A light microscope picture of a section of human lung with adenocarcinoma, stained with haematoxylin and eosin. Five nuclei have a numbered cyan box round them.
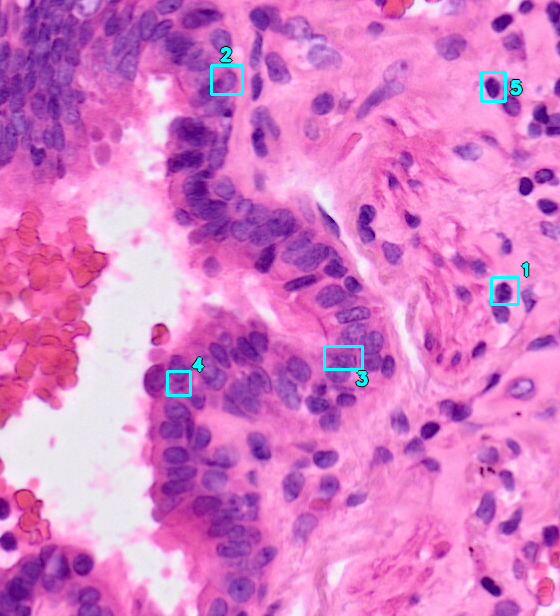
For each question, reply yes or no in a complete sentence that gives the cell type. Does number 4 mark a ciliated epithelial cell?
Yes, it is a ciliated epithelial cell that carries the number 4.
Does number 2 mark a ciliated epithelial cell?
Yes, the cell distinguished by number 2 is a ciliated epithelial cell.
